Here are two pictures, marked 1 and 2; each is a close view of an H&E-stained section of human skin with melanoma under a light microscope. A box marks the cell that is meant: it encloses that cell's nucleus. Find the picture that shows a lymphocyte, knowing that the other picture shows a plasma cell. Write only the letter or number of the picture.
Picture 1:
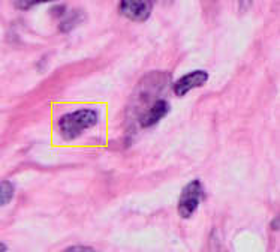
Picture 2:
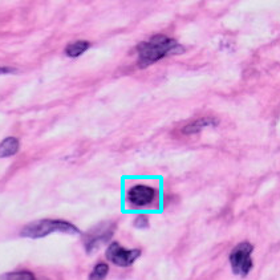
1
